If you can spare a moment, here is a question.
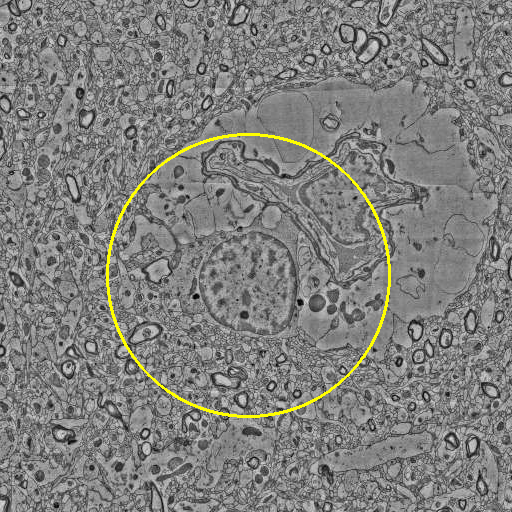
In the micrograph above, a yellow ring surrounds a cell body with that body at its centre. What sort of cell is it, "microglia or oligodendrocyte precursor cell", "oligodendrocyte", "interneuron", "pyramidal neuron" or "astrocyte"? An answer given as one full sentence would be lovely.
Centred inside the yellow ring, the cell body shown belongs to an oligodendrocyte in this micrograph.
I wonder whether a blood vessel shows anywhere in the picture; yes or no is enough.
Yes.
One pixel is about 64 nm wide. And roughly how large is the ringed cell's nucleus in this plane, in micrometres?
The nucleus comes to roughly 7 micrometres across in this plane.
